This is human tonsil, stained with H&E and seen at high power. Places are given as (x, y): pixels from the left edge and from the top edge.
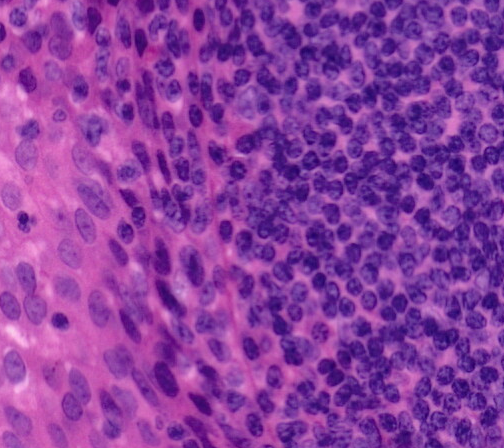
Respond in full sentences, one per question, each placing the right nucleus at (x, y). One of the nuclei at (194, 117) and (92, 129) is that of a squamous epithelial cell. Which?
Of these two nuclei, it is the one at (92, 129) that belongs to a squamous epithelial cell.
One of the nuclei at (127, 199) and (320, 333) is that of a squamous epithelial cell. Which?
So, of the two, the nucleus at (127, 199) is the one belonging to a squamous epithelial cell.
